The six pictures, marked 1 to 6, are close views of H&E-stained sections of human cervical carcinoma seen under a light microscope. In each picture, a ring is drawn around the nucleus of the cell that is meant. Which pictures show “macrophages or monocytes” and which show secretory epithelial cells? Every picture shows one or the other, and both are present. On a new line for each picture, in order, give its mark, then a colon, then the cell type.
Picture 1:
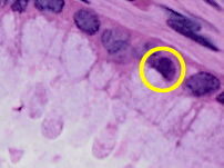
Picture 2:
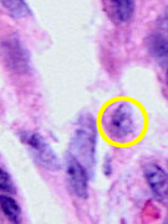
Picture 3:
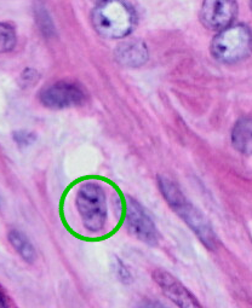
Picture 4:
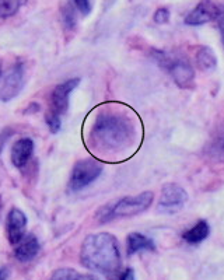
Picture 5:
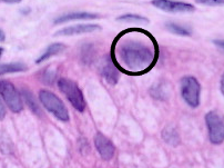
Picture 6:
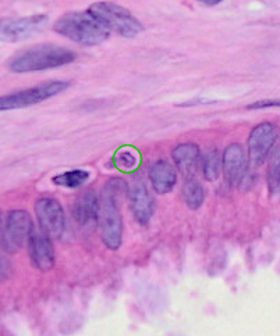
1: secretory epithelial cell
2: macrophage or monocyte
3: macrophage or monocyte
4: macrophage or monocyte
5: secretory epithelial cell
6: secretory epithelial cell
